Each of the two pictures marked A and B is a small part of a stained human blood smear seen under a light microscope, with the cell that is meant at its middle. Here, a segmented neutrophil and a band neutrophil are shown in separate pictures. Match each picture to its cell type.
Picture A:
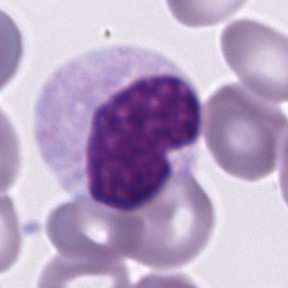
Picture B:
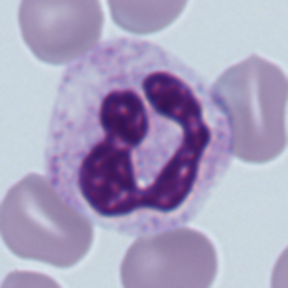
A: band neutrophil
B: segmented neutrophil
